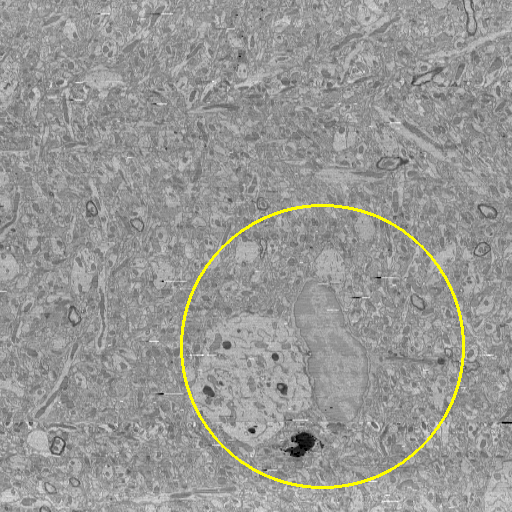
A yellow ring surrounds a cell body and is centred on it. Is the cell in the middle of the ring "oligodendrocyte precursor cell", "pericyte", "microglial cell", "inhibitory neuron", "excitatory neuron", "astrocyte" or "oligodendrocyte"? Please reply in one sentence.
The ring is centred on a microglial cell.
